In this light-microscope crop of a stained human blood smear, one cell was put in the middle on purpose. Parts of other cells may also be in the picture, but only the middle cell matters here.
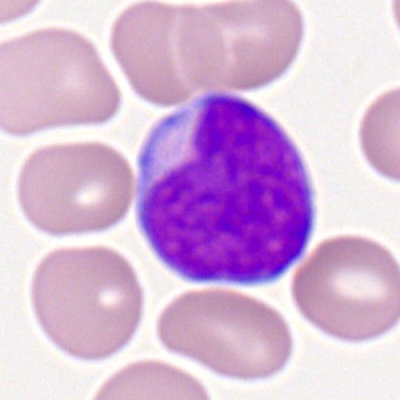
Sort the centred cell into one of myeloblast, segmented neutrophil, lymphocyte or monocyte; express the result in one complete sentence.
The cell centered in this field of view is a myeloblast.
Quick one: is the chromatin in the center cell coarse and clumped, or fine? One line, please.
The nucleus shows chromatin that is coarsely clumped.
